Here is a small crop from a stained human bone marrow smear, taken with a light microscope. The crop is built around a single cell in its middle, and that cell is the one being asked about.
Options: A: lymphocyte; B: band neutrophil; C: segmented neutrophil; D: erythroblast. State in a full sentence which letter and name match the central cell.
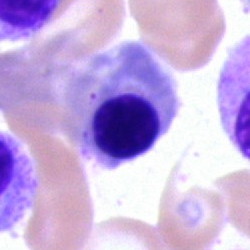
What option D states is correct, the central cell being an erythroblast.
